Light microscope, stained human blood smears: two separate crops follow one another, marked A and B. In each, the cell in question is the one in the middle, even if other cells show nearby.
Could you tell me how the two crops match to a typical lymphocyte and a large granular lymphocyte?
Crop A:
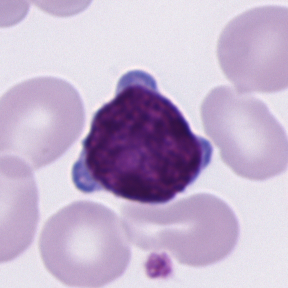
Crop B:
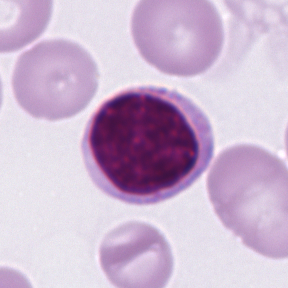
A: typical lymphocyte
B: large granular lymphocyte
